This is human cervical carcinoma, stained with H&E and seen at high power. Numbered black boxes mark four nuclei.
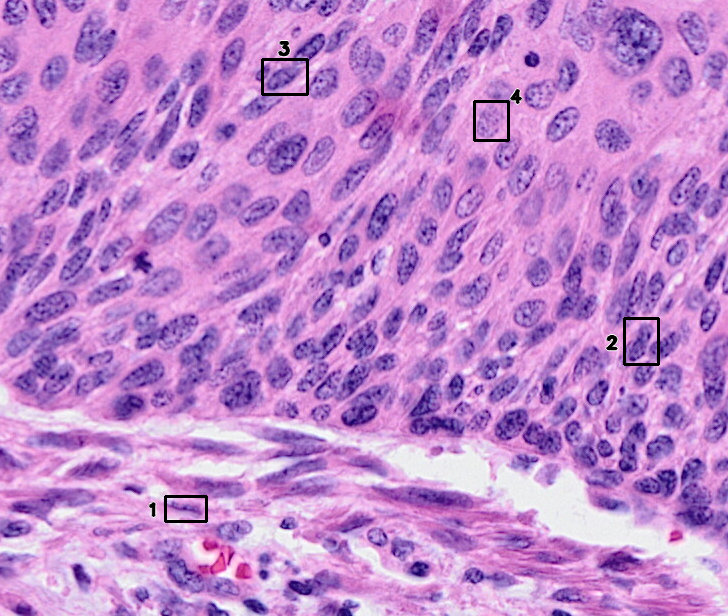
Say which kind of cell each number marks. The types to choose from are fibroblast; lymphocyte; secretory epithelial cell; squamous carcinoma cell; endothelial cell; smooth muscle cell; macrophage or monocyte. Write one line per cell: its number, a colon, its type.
1: fibroblast
2: squamous carcinoma cell
3: squamous carcinoma cell
4: squamous carcinoma cell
